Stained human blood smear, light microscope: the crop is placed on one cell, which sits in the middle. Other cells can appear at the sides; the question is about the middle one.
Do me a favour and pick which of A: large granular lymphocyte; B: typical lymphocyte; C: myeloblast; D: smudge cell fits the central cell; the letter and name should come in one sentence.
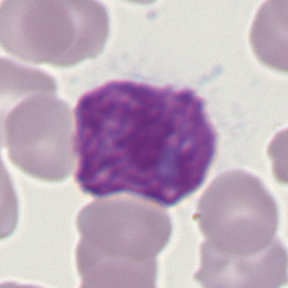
For this crop, option D is right, the centered cell being a smudge cell.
